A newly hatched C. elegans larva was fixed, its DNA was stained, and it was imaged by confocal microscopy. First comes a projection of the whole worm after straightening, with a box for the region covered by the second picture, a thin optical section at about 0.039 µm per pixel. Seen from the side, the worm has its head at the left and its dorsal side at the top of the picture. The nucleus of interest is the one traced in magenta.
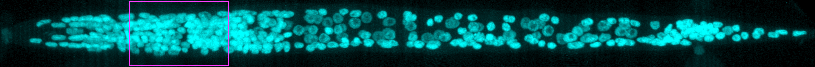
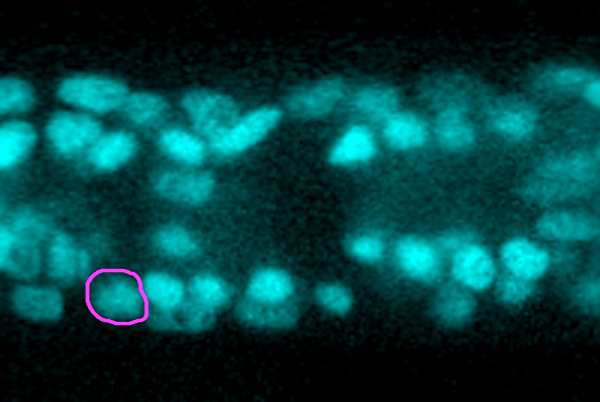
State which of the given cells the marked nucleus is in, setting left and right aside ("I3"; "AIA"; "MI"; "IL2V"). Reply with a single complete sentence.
This is the nucleus of IL2V, a neuron.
